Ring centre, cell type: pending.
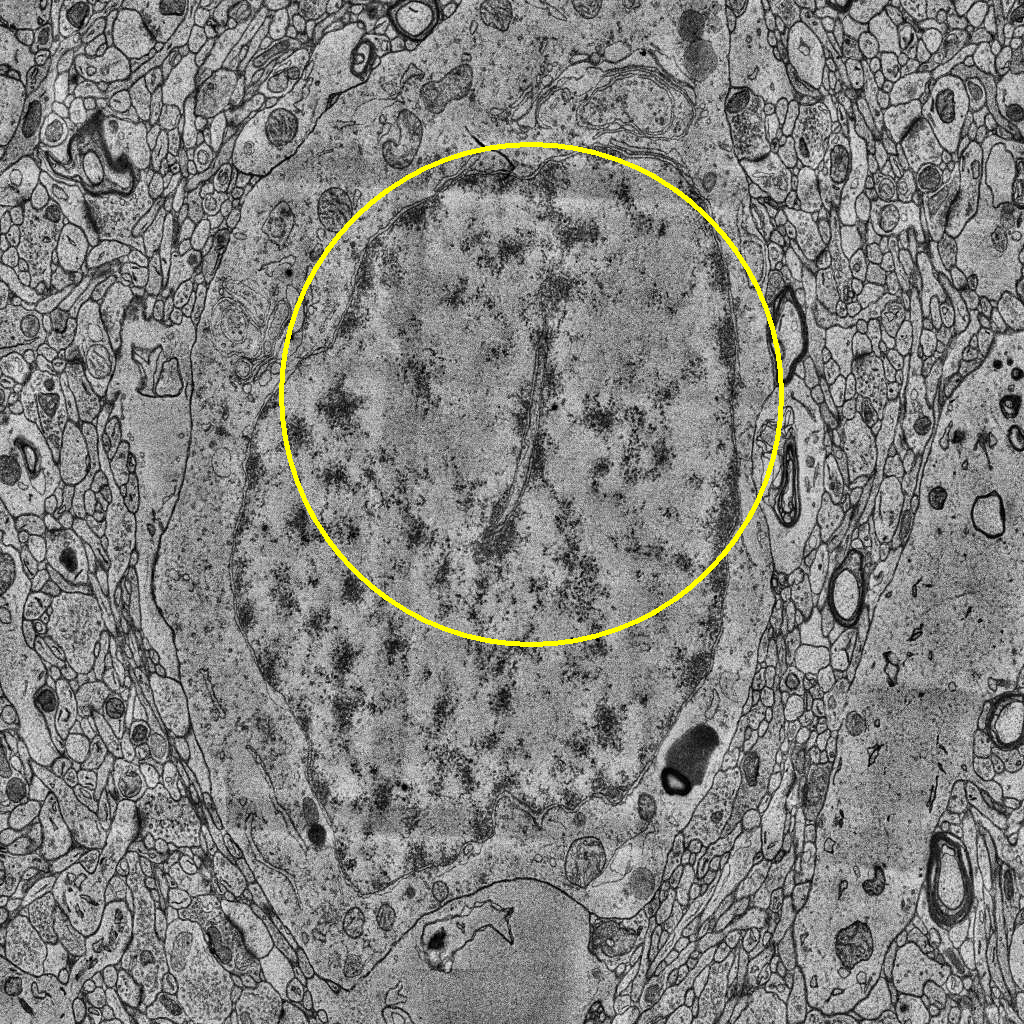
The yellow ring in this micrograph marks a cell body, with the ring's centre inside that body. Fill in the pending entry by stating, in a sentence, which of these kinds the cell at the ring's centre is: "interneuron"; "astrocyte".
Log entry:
The cell at the ring's centre is recorded as an interneuron.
